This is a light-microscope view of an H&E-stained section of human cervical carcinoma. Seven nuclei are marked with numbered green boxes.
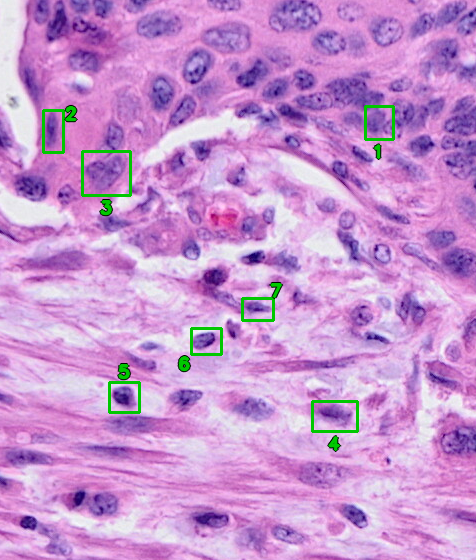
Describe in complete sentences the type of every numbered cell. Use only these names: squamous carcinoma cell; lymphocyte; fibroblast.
Cell 1 is a squamous carcinoma cell, cell 2 is a squamous carcinoma cell, cell 3 is a squamous carcinoma cell, cell 4 is a fibroblast, cell 5 is a lymphocyte, cell 6 is a lymphocyte and cell 7 is a fibroblast.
